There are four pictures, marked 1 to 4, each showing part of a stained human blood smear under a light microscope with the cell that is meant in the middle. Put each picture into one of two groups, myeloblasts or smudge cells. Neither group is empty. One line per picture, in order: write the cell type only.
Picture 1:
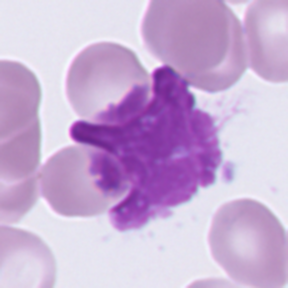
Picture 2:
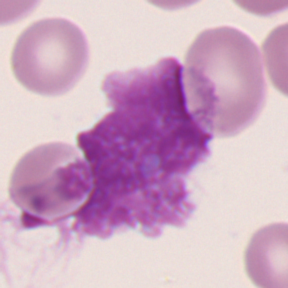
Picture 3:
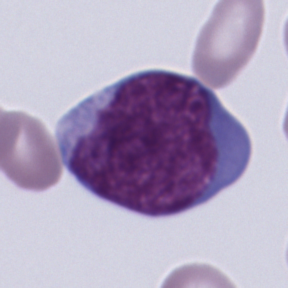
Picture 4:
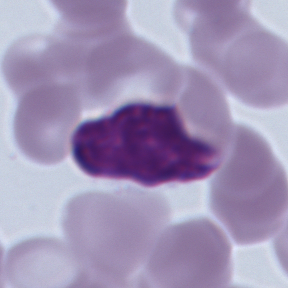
smudge cell
smudge cell
myeloblast
smudge cell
